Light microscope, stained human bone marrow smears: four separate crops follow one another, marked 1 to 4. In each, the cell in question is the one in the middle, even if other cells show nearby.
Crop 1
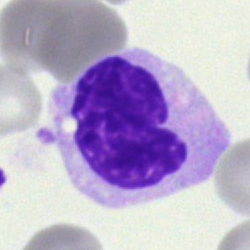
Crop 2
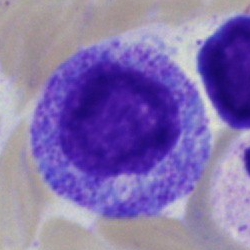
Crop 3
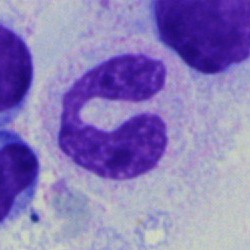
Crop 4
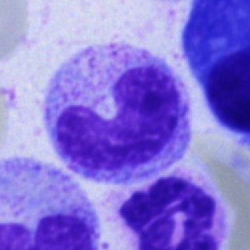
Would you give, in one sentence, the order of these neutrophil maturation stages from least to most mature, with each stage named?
The series, from least to most mature, is crop 2 (a myelocyte), crop 1 (a metamyelocyte), crop 4 (a band neutrophil) and crop 3 (a segmented neutrophil).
